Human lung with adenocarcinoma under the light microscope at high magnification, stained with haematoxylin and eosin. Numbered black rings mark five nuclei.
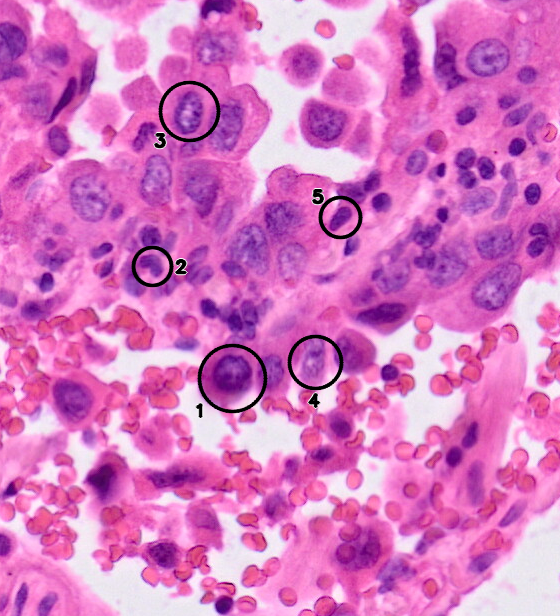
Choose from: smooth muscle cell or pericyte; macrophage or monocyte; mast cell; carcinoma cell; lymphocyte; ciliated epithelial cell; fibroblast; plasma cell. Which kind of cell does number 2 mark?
lymphocyte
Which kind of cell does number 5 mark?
lymphocyte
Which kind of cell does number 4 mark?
carcinoma cell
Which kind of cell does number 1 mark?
carcinoma cell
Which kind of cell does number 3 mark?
carcinoma cell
